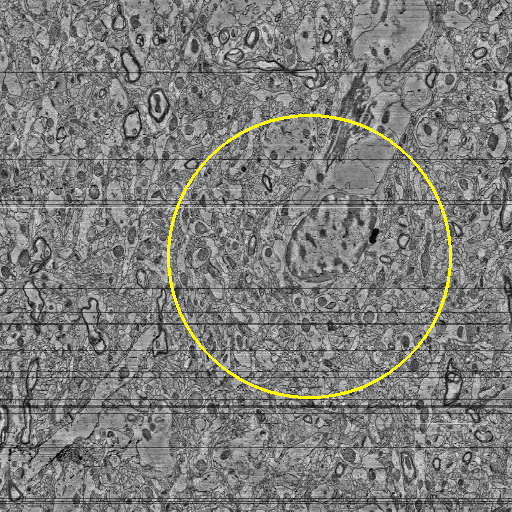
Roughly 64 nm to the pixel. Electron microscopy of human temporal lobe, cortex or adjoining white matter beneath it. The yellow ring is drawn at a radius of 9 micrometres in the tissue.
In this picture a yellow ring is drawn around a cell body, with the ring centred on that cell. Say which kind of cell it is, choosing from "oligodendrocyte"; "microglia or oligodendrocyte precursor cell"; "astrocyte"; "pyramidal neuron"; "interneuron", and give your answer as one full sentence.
Here it is a microglial cell or oligodendrocyte precursor cell that sits at the centre of the drawn yellow ring.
